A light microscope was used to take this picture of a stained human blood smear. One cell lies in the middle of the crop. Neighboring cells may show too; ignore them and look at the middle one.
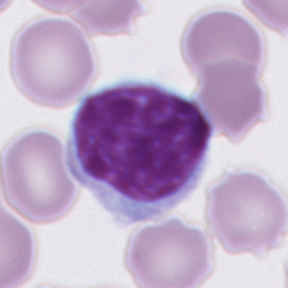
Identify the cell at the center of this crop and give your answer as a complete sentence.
The middle of this crop holds a typical lymphocyte.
